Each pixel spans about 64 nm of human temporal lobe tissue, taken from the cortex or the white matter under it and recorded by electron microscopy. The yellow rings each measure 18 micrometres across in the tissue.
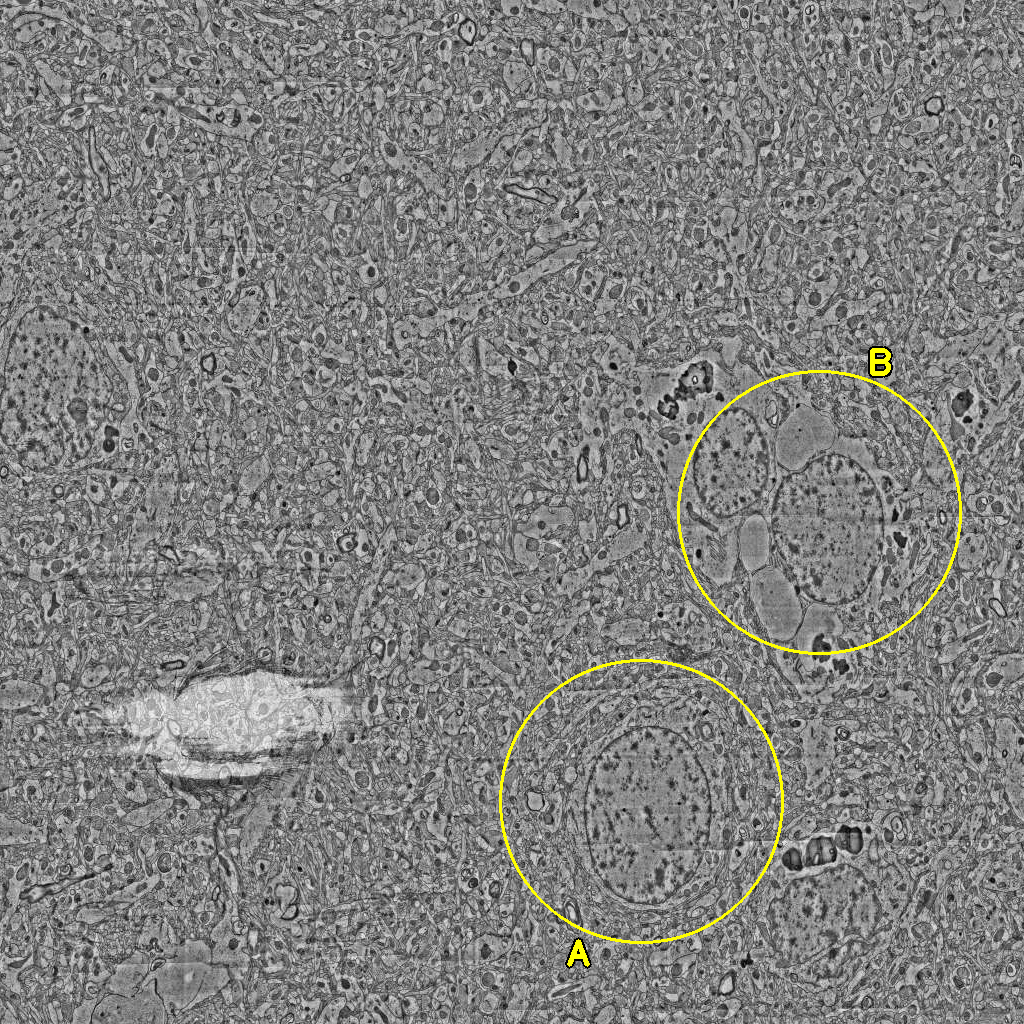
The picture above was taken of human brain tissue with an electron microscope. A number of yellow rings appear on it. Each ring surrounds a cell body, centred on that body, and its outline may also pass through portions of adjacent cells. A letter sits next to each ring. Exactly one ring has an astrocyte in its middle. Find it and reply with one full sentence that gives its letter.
Letter B labels the ring whose centre falls on a cell of that kind.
